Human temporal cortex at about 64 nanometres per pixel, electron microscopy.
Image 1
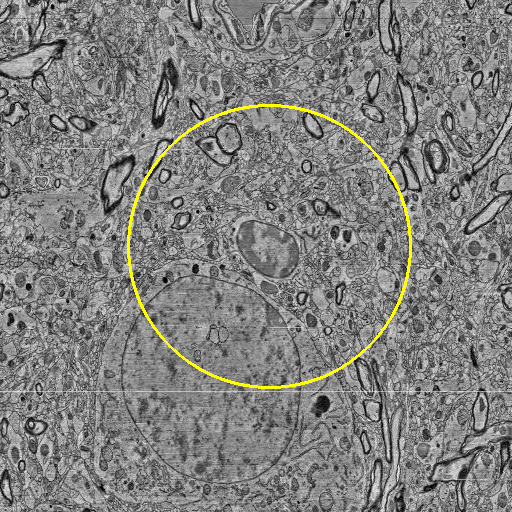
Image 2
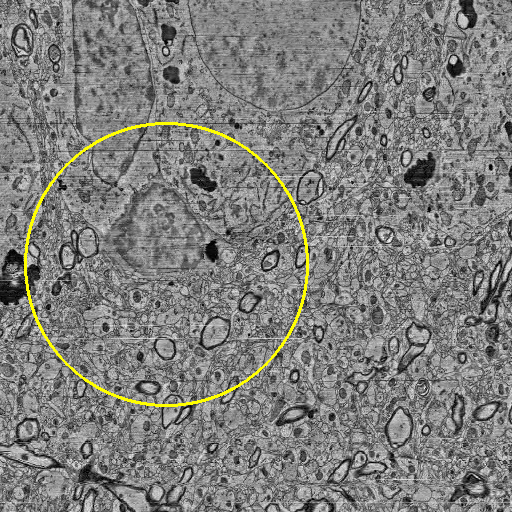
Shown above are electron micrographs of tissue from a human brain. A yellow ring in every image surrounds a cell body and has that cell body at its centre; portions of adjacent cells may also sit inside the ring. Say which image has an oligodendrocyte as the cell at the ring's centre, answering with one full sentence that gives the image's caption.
The image whose ring is centred on the requested cell is Image 2.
